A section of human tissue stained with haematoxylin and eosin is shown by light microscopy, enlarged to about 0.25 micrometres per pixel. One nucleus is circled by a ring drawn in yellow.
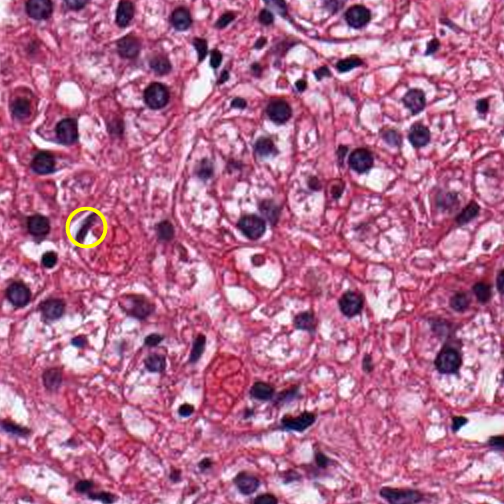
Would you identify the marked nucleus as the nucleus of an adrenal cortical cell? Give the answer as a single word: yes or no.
no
